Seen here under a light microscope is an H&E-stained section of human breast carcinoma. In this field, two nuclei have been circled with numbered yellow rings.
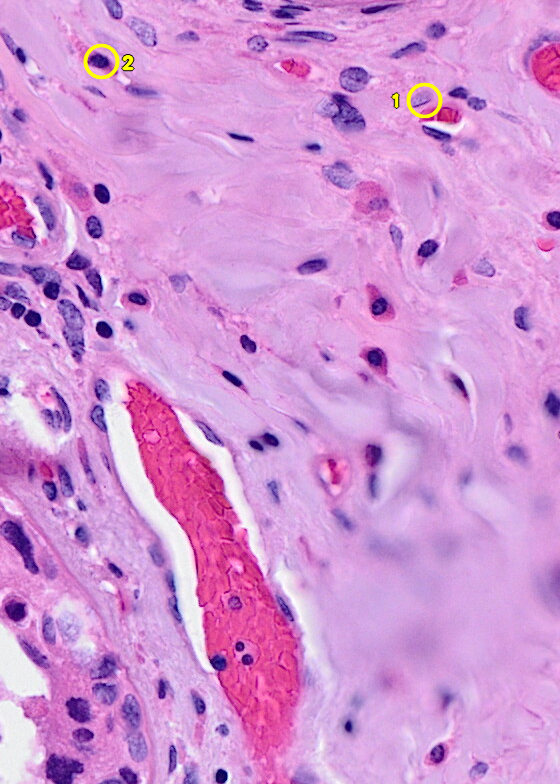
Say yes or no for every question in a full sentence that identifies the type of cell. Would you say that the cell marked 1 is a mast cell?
No, the cell denoted 1 is an endothelial cell rather than a mast cell.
